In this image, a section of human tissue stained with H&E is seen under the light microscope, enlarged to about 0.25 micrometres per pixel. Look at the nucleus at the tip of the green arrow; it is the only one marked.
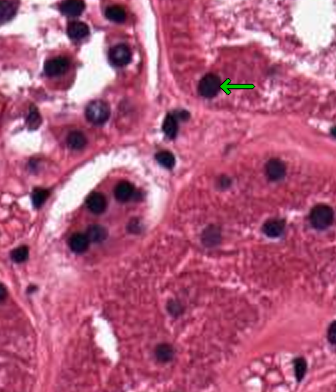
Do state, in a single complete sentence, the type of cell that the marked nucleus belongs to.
The mark identifies the nucleus of a proximal tubule cell.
